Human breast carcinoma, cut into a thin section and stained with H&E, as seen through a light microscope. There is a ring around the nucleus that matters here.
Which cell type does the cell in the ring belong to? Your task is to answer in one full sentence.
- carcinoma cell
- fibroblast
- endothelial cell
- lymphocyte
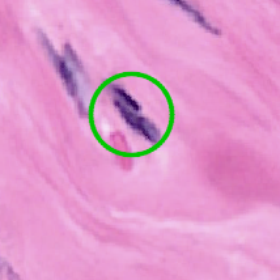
In this tissue section, the cell in the ring is to be classed as an endothelial cell.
